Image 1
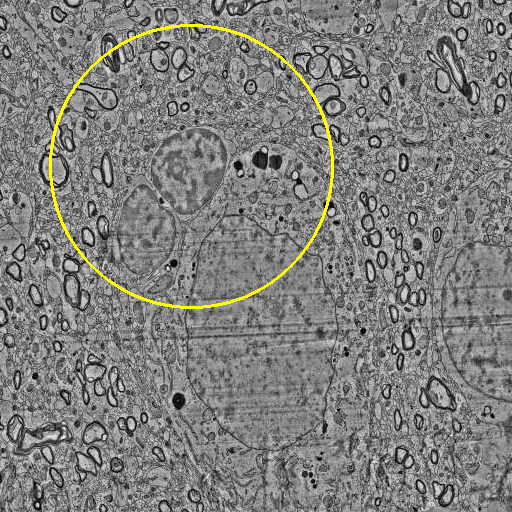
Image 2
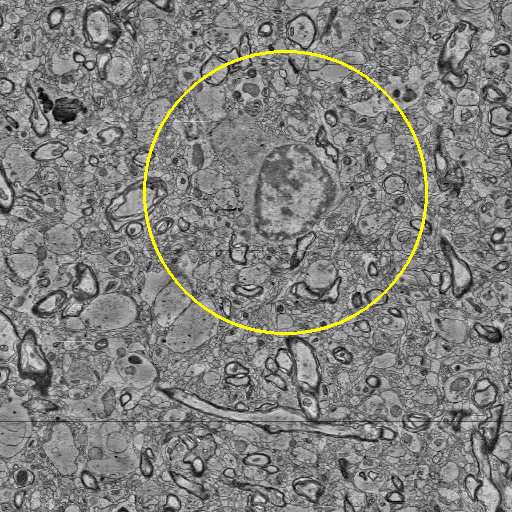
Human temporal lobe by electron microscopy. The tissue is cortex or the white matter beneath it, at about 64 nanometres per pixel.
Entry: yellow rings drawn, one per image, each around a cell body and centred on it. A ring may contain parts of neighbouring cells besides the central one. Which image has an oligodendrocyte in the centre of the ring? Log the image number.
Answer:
2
